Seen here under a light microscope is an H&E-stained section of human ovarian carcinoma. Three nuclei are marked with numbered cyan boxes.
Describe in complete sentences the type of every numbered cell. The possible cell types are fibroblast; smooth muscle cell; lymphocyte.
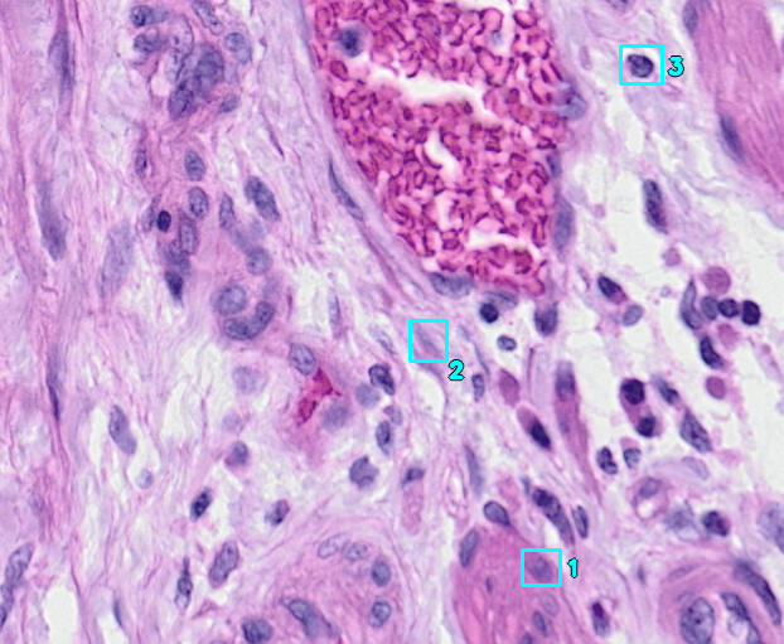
Cell 1 is a smooth muscle cell. Cell 2 is a fibroblast. Cell 3 is a lymphocyte.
